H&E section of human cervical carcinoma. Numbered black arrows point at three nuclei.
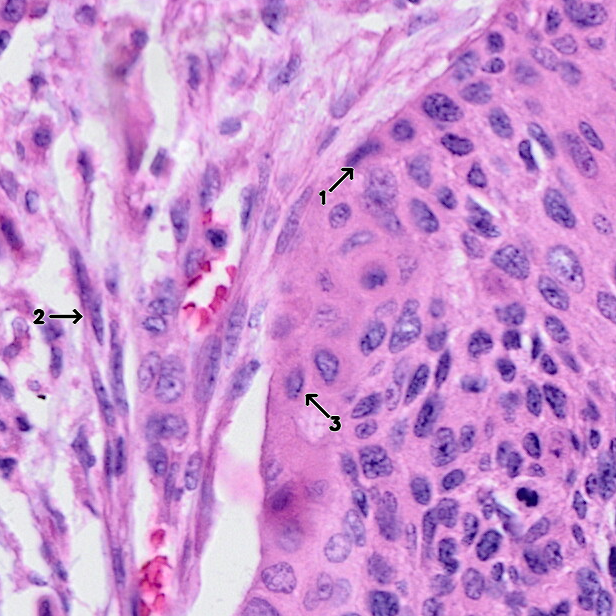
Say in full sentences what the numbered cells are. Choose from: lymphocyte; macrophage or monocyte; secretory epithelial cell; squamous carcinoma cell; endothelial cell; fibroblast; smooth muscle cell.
Cells 1 and 3 are squamous carcinoma cells. Cell 2 is a fibroblast.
